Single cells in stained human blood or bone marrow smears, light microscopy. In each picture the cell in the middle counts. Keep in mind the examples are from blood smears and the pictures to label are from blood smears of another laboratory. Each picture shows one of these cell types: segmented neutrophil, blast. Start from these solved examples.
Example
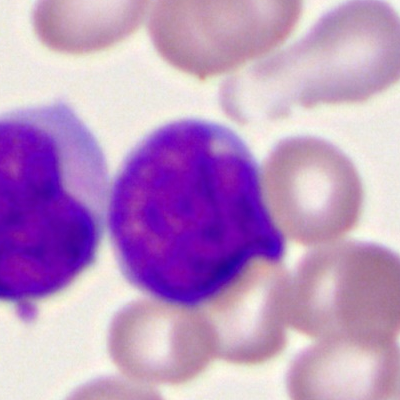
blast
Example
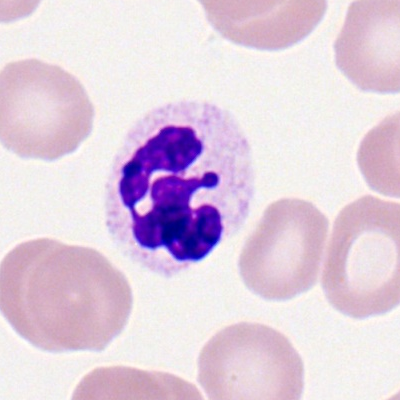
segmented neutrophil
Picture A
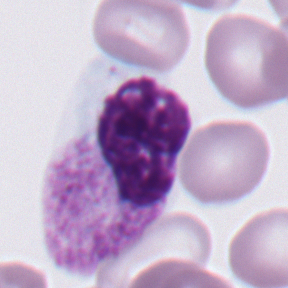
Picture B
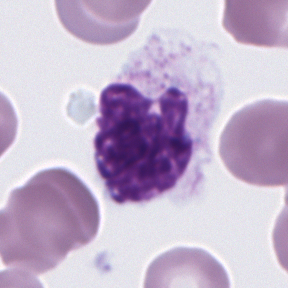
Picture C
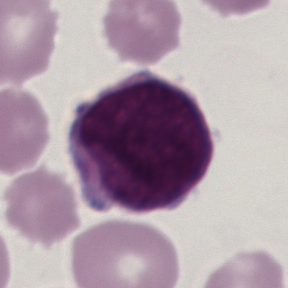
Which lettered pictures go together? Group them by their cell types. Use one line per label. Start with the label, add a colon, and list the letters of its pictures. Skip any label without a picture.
segmented neutrophil: A, B
blast: C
